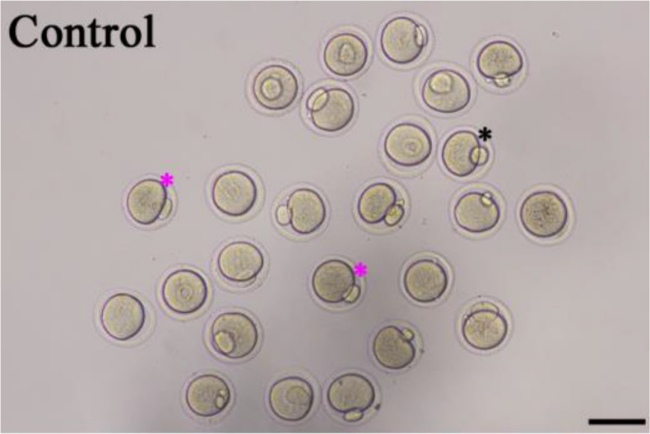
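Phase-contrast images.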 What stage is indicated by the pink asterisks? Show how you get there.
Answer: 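Each marked cell has a small round body lying beside it, inside the clear outer coat. The small body is much smaller than the large cell. The answer: normal matured oocytes with first polar body.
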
